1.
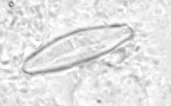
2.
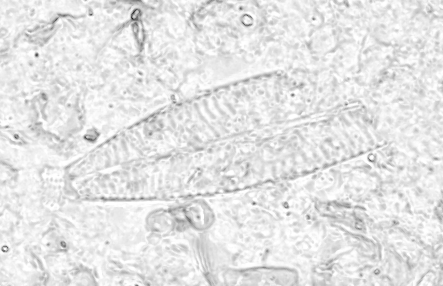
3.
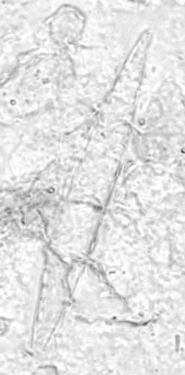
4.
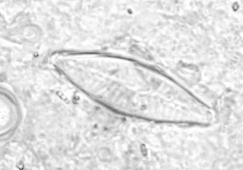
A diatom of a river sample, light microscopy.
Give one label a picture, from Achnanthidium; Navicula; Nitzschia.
1. Achnanthidium
2. Navicula
3. Nitzschia
4. Navicula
